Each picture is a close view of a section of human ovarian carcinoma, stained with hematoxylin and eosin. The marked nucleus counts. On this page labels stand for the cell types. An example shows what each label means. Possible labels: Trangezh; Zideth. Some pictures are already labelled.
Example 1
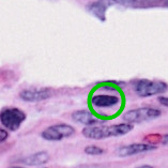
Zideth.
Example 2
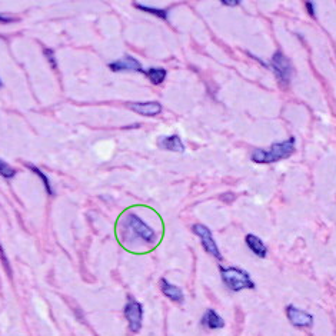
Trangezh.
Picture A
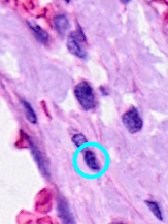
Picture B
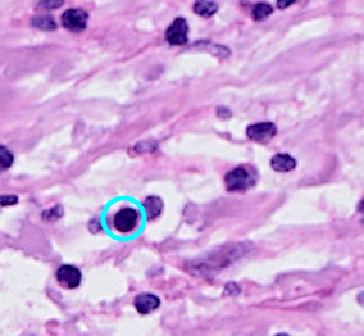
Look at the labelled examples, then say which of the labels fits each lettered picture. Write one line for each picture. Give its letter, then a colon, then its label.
A: Zideth.
B: Zideth.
